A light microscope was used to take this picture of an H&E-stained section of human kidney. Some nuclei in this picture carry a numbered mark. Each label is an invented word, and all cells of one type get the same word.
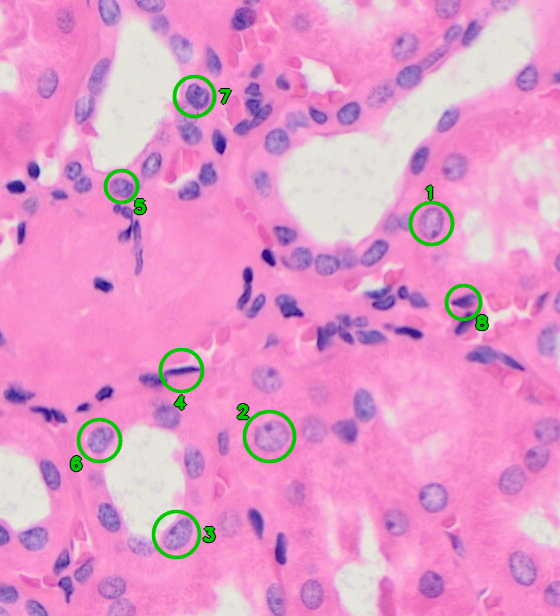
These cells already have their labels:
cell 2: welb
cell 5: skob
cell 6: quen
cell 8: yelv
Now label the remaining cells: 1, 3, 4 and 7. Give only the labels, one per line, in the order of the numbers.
welb
quen
yelv
skob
